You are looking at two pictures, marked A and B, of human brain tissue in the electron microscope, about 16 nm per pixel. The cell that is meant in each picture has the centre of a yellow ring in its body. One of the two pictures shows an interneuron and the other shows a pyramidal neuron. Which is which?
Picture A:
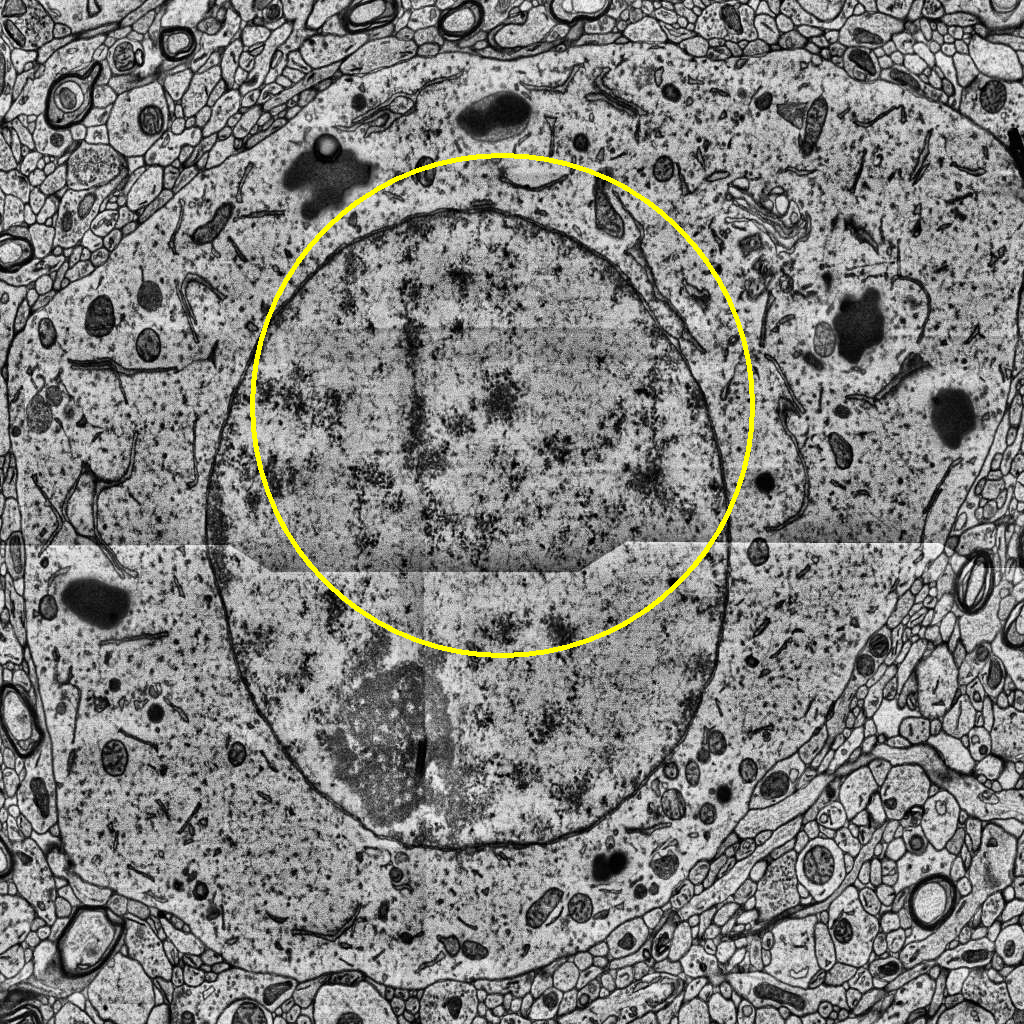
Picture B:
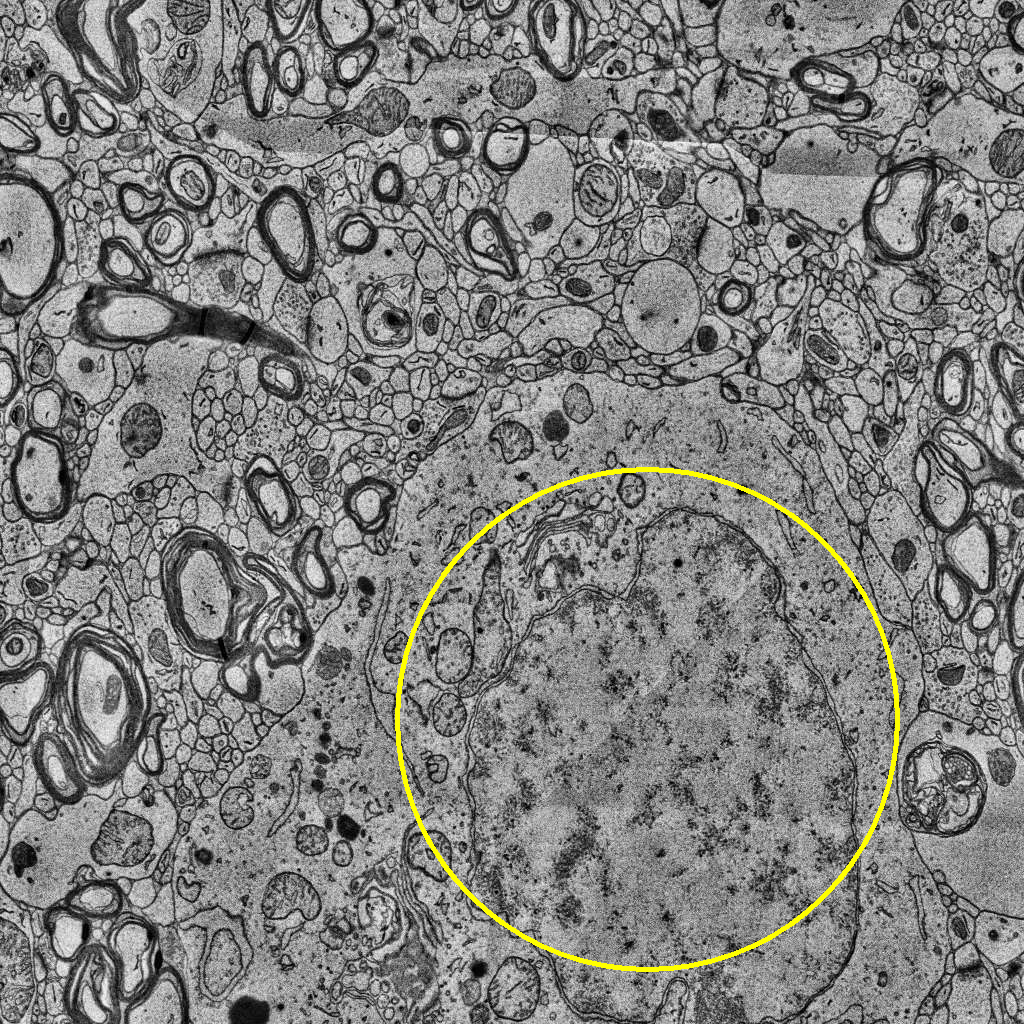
It is picture A that shows a pyramidal neuron, and picture B that shows an interneuron.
